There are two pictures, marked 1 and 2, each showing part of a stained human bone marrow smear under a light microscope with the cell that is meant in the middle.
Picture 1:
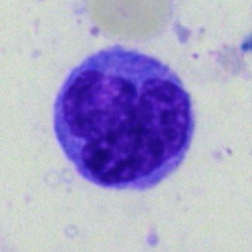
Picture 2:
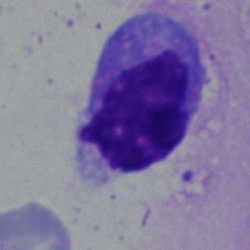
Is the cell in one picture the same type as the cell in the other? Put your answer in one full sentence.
Yes, both cells are monocytes.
